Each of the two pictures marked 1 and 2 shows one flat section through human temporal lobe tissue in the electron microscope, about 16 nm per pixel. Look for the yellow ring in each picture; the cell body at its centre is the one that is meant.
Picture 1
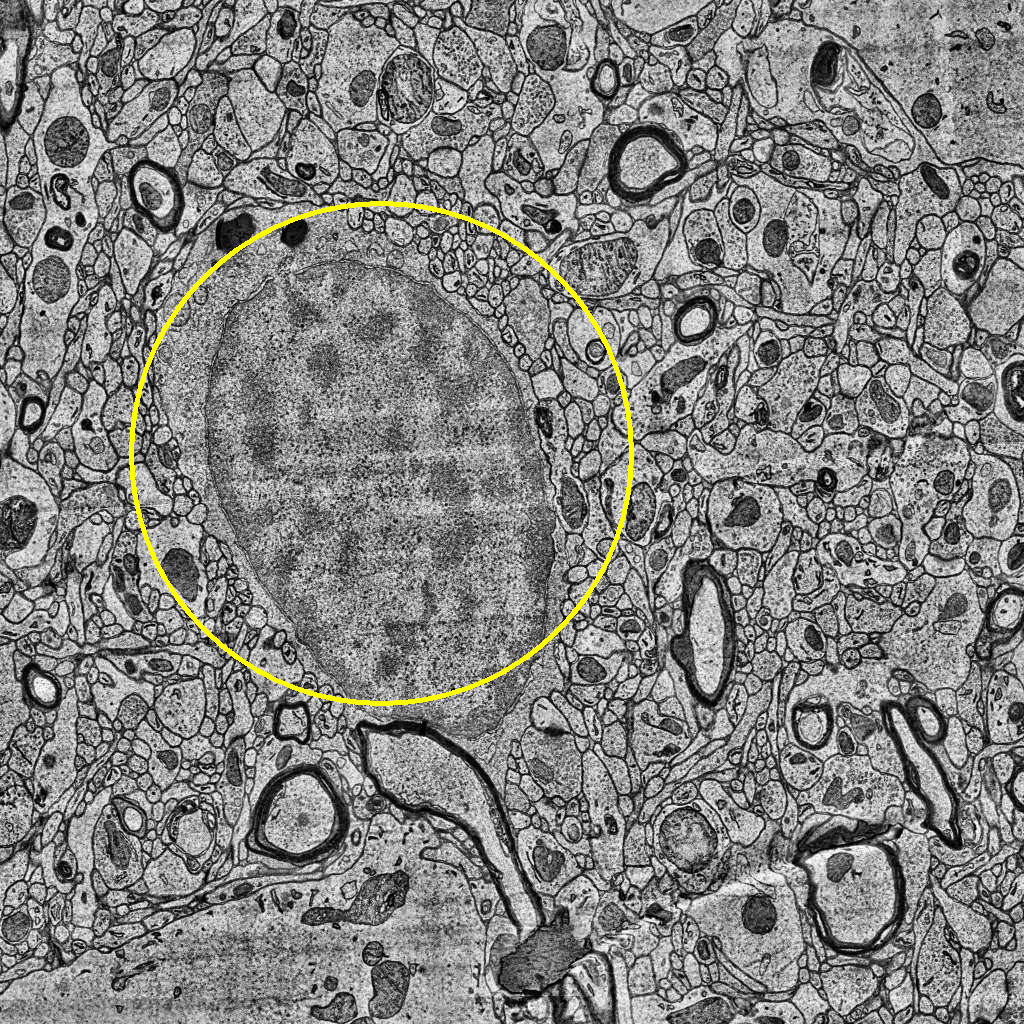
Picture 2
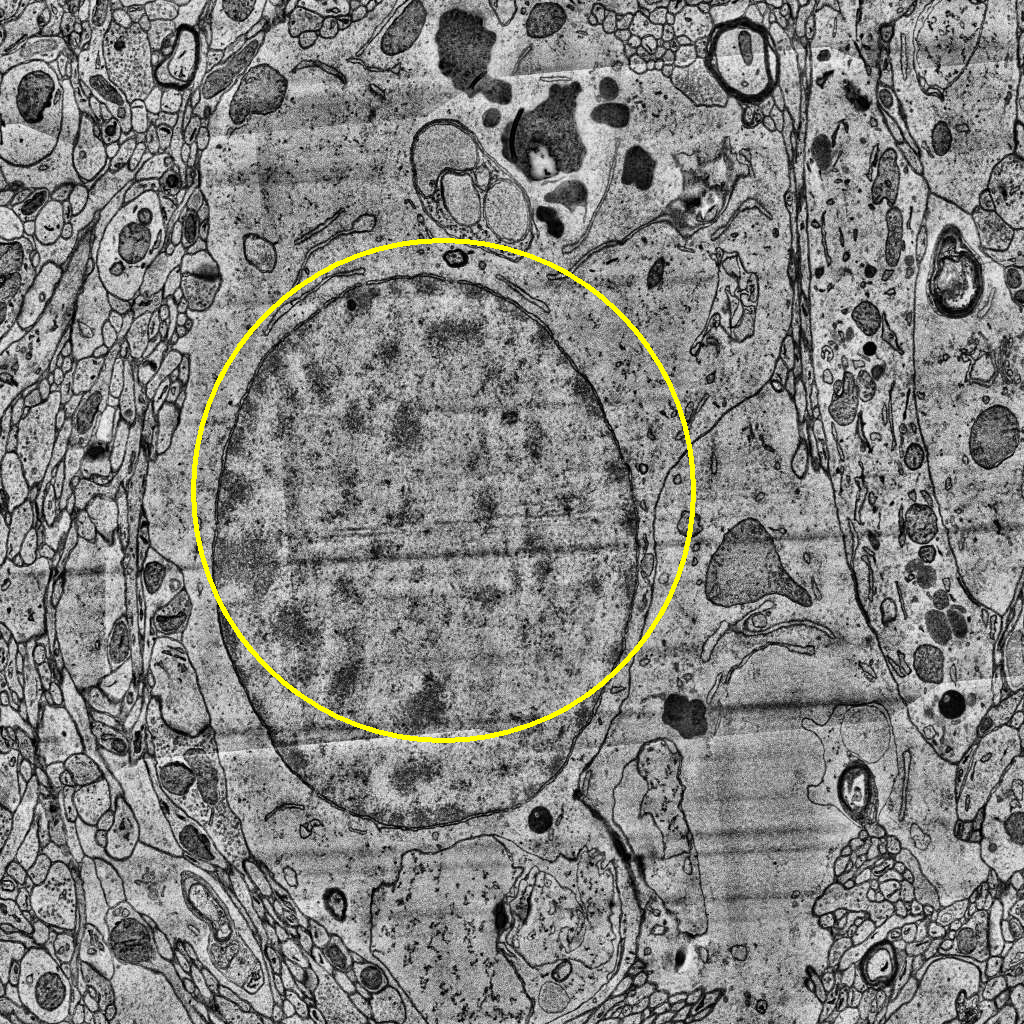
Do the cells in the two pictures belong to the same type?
No, they differ: the cell is an oligodendrocyte in picture 1 and an astrocyte in picture 2.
